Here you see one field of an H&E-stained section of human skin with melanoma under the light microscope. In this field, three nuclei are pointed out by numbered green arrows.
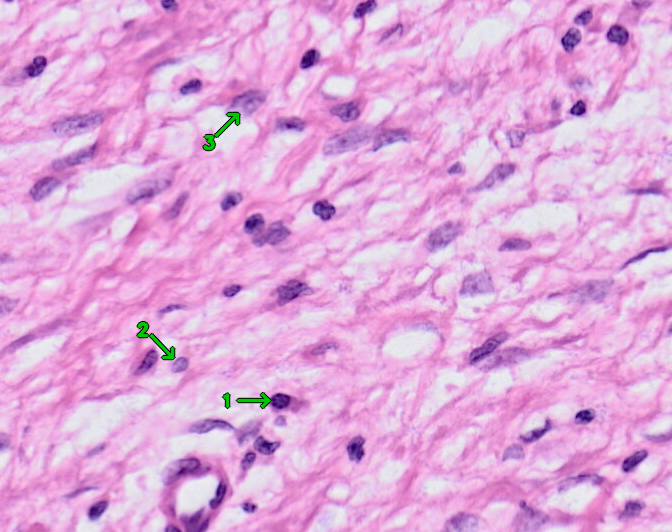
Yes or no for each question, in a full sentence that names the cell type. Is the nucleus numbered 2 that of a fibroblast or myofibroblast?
No, the cell at number 2 is a macrophage or monocyte instead of a fibroblast or myofibroblast.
